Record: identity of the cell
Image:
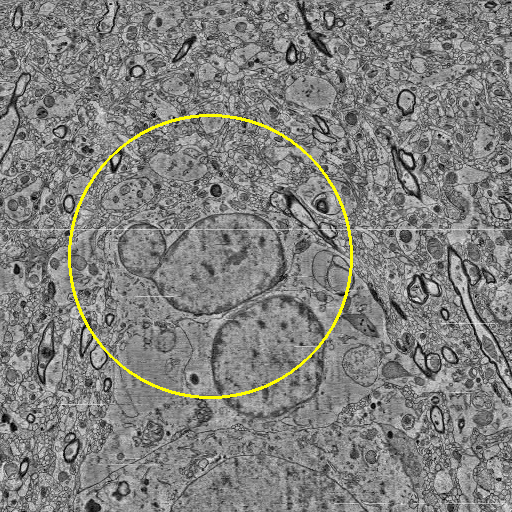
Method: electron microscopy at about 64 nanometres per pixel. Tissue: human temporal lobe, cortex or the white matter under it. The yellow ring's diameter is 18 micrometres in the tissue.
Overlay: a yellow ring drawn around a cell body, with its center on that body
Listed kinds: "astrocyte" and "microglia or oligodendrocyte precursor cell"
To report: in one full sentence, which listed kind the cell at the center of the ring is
In the image, the cell body at the ring's center belongs to a microglial cell or oligodendrocyte precursor cell.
